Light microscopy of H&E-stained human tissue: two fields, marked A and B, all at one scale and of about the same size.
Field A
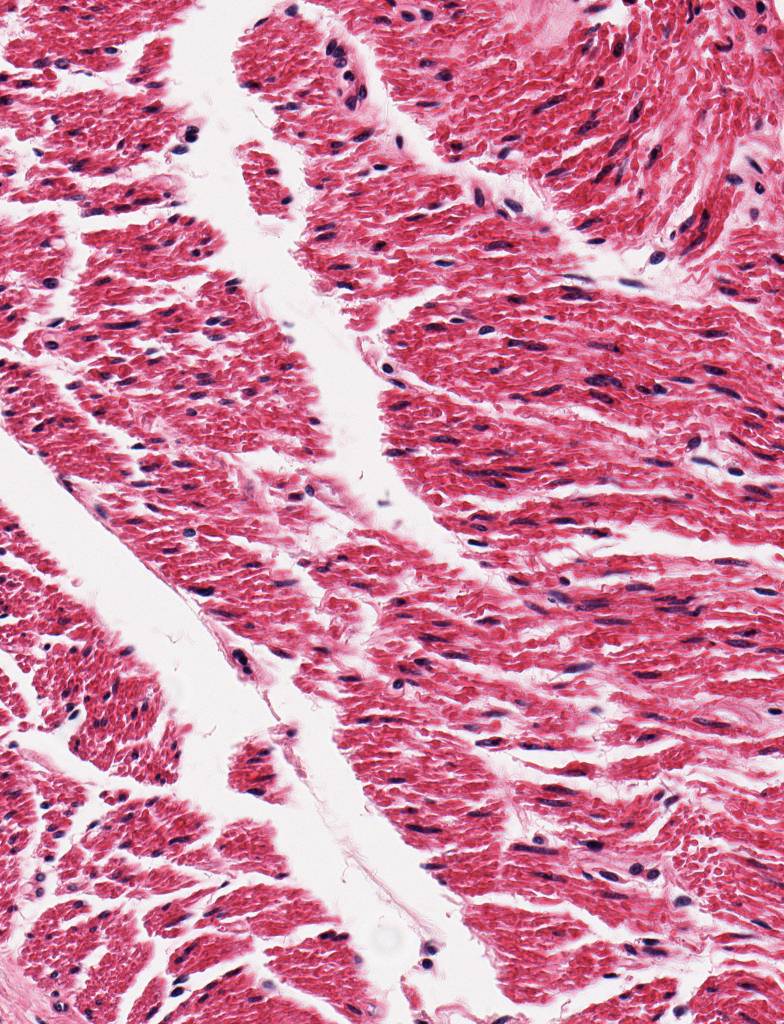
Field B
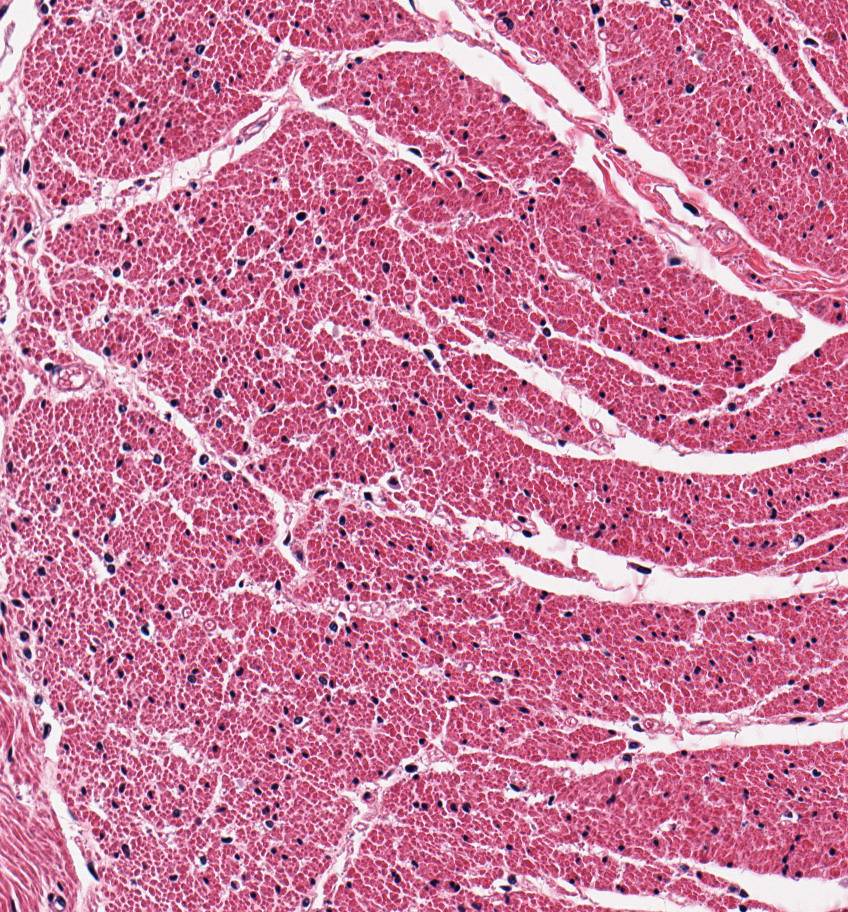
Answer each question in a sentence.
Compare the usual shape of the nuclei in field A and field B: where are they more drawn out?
Longer, more slender nuclei lie in field A.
